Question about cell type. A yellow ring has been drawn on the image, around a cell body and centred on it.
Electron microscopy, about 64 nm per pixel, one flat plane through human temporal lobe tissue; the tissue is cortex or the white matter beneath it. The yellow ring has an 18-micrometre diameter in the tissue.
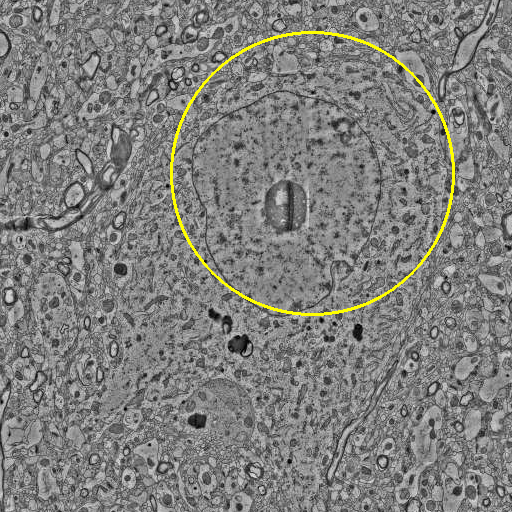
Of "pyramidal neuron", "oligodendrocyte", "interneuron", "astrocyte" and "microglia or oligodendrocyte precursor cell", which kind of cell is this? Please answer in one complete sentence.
At the centre of the ring lies a pyramidal neuron.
